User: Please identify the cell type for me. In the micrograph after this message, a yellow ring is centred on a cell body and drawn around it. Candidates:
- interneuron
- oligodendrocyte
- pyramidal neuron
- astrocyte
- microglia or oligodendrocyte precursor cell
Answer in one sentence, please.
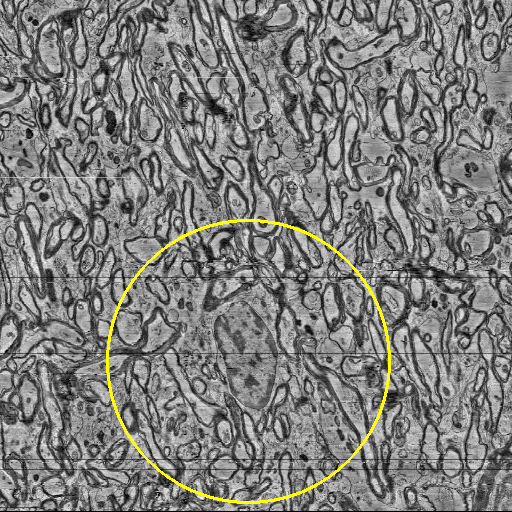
The ring is drawn around the cell body of a microglial cell or oligodendrocyte precursor cell.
